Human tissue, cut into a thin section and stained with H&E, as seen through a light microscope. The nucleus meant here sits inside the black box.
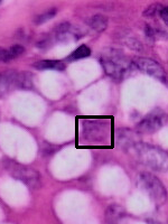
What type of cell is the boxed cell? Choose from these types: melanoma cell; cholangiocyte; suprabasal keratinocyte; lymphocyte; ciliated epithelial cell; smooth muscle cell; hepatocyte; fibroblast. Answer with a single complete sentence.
As for its identity, the boxed cell is a ciliated epithelial cell.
